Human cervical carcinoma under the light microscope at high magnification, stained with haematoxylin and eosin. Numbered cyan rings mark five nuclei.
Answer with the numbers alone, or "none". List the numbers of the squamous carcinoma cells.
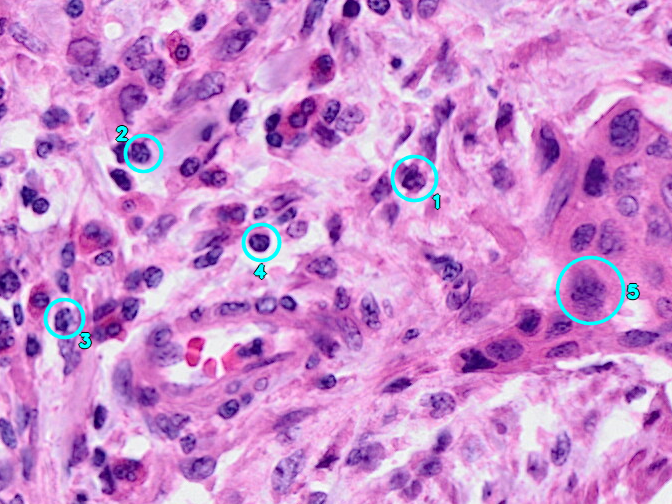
5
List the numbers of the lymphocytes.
2, 3, 4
